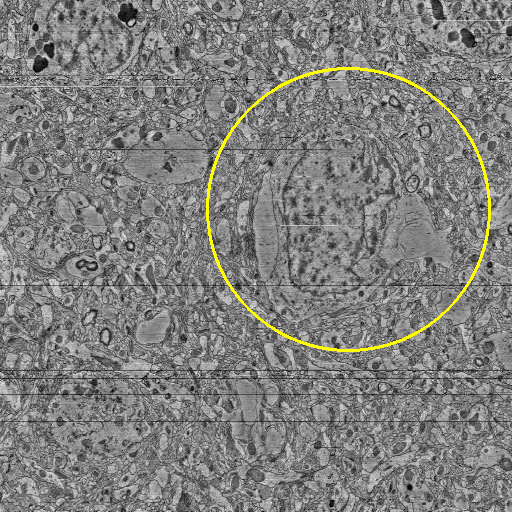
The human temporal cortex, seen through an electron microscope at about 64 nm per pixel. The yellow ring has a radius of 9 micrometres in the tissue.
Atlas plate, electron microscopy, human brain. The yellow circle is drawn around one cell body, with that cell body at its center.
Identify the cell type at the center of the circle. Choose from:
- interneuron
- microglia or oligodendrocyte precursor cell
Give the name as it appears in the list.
interneuron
